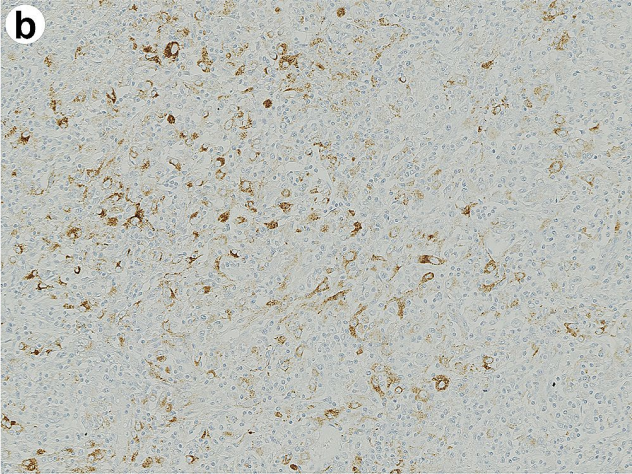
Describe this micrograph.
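Tumor tissue with sheets of cells having pale cytoplasm and small bluish nuclei is shown, among which scattered cells carry granular brown stain in their cytoplasm. The stained cells are irregular, some rounded and some with short extensions, and are dispersed singly and in small clusters across the field.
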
